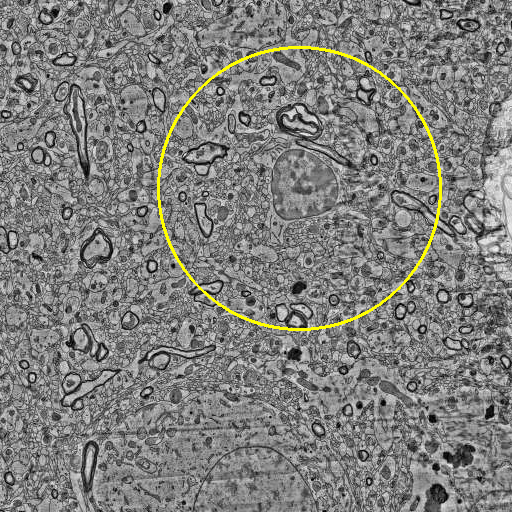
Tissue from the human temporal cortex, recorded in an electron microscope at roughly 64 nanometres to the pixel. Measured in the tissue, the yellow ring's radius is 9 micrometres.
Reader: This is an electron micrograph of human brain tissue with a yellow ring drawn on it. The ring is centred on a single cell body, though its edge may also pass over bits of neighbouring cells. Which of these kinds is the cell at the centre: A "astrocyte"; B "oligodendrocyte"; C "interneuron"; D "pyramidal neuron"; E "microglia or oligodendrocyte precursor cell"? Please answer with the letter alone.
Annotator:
E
